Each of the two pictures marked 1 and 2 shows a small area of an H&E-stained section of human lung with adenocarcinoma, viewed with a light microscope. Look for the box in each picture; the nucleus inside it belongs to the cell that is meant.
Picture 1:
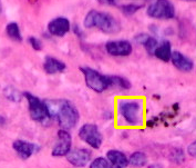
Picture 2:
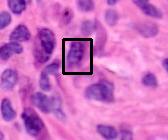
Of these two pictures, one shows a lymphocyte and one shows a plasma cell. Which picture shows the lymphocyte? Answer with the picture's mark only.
1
